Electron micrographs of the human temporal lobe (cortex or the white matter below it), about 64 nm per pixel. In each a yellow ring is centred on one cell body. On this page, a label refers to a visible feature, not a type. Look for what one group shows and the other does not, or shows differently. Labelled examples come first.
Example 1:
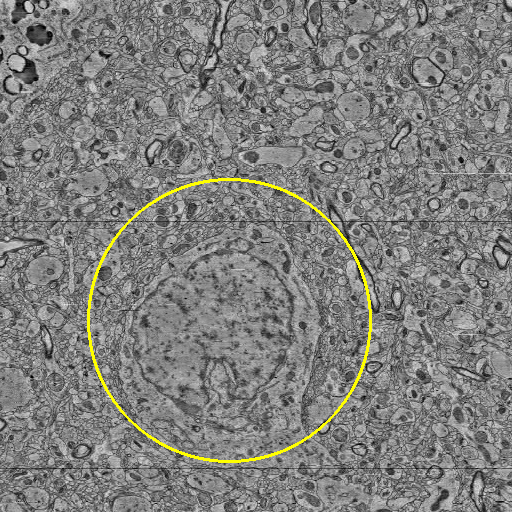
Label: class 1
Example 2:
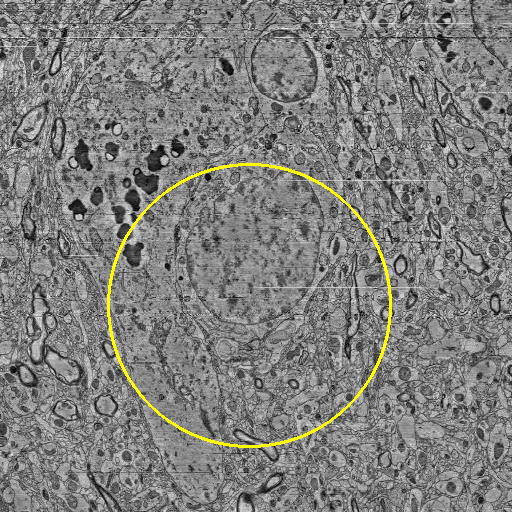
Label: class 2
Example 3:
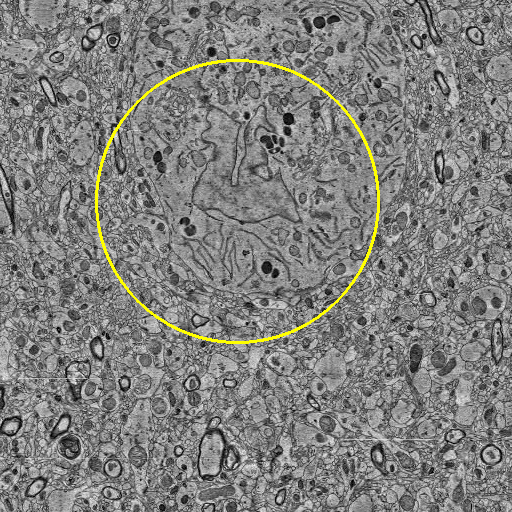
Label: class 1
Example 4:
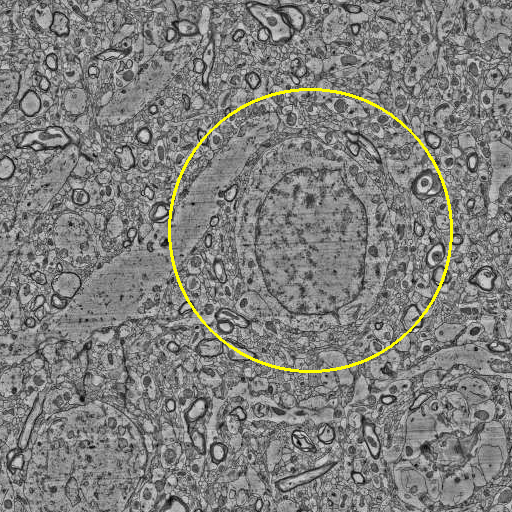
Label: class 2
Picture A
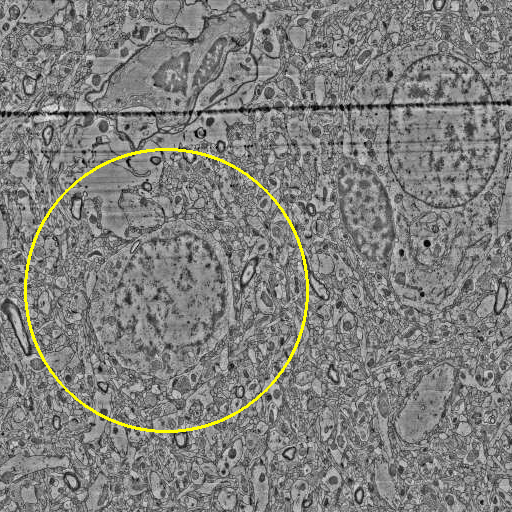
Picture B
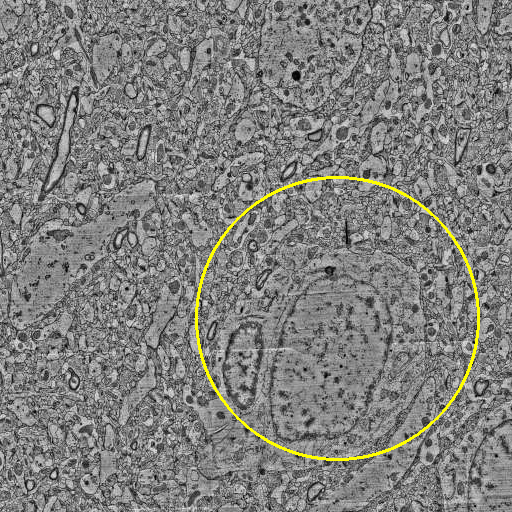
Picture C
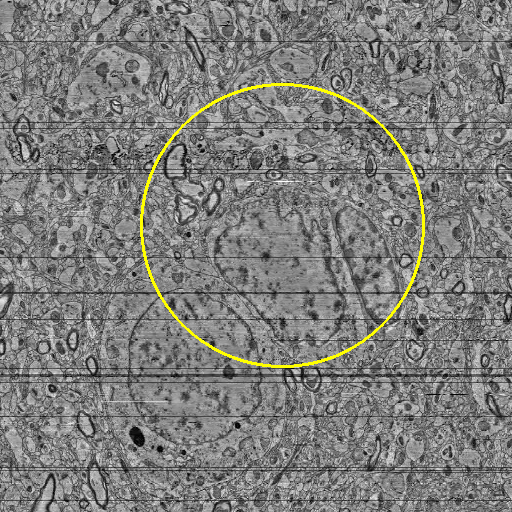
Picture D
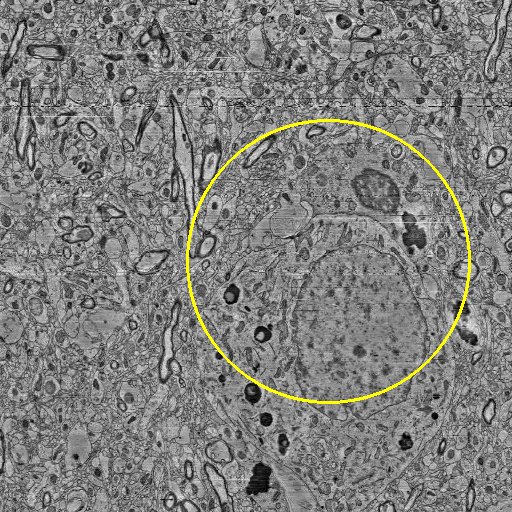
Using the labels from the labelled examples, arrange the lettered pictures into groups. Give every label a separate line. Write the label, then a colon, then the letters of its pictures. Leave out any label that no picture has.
class 1: C
class 2: A, B, D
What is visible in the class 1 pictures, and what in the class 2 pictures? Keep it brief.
In class 1: deeply folded or indented nuclear envelopes. In class 2: smooth nuclear envelopes without deep folds.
